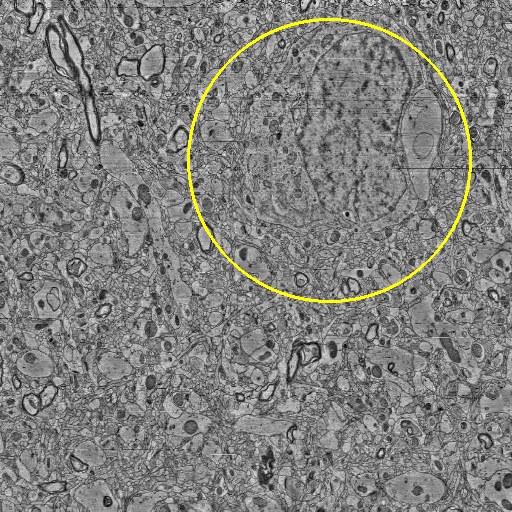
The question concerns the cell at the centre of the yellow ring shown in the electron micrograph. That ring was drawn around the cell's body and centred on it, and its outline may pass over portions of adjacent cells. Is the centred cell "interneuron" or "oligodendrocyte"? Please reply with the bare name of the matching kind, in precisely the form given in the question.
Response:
interneuron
